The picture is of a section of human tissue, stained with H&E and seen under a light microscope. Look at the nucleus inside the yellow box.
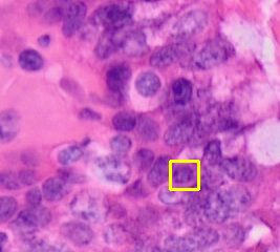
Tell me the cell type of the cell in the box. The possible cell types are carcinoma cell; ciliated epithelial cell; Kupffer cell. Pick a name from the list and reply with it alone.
ciliated epithelial cell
